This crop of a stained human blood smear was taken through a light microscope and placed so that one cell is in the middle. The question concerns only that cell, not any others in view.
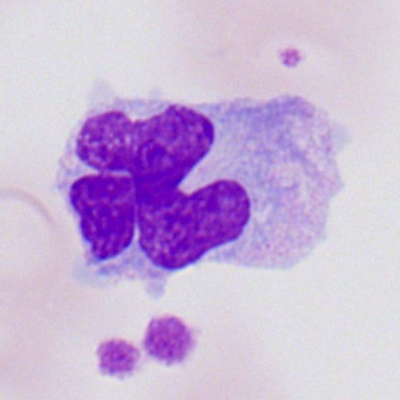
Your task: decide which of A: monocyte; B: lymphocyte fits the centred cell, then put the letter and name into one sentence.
In this crop the middle cell is a monocyte, so option A is the correct answer.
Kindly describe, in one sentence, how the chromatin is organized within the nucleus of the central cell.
Thanks for asking; the chromatin is coarsely clumped.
